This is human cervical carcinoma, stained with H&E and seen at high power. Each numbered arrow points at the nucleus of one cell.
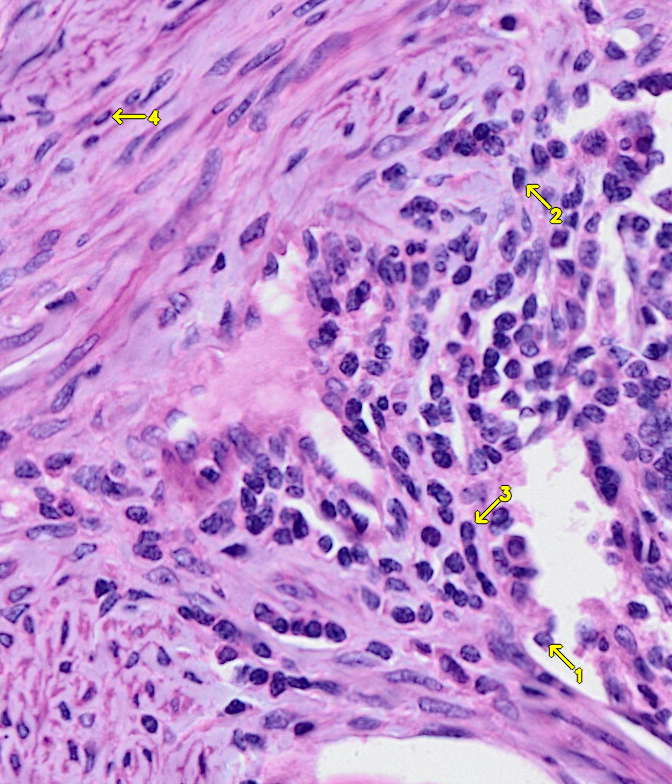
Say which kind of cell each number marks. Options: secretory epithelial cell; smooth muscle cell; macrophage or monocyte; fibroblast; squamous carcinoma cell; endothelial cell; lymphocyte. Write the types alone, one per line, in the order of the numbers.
lymphocyte
lymphocyte
lymphocyte
smooth muscle cell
